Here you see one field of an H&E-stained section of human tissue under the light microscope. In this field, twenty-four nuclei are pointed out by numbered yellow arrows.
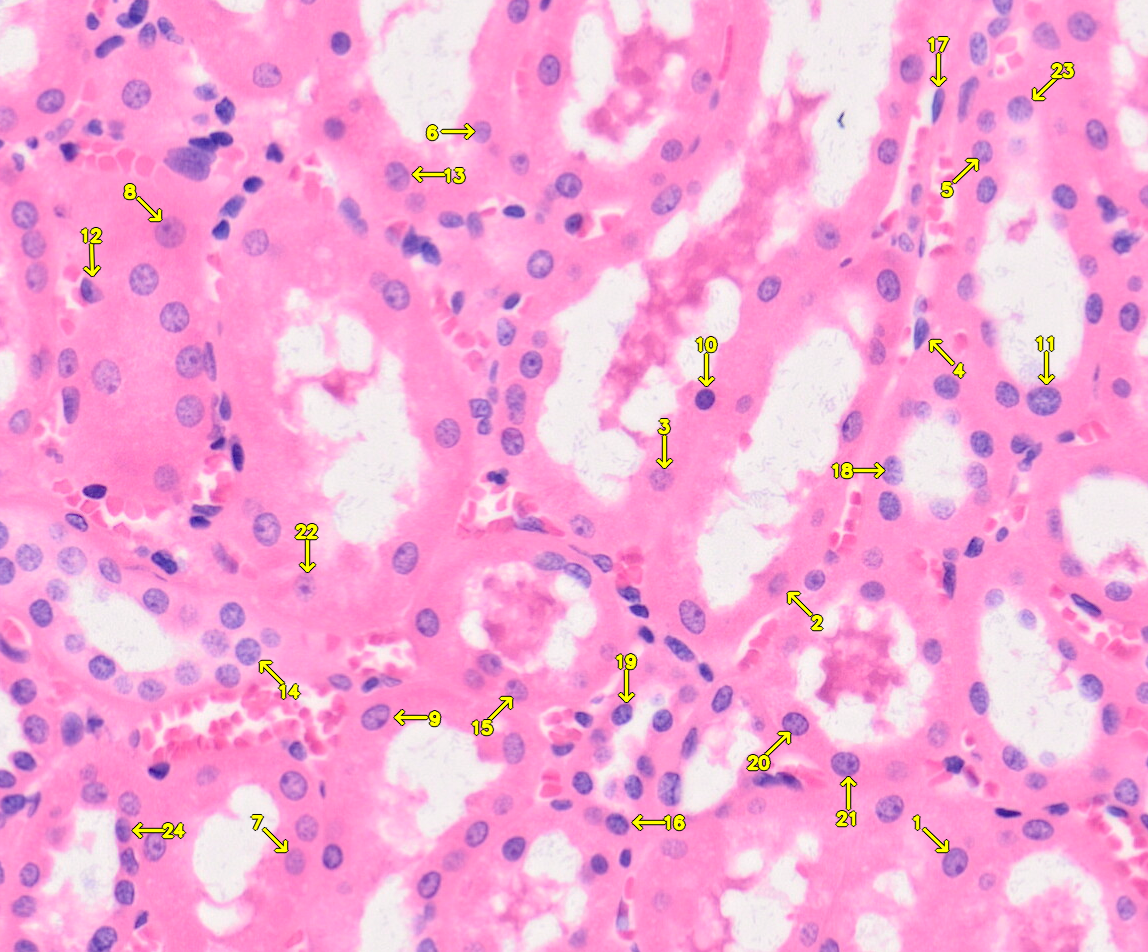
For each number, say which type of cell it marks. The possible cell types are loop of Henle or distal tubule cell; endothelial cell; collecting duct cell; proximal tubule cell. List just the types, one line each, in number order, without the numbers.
proximal tubule cell
proximal tubule cell
proximal tubule cell
endothelial cell
loop of Henle or distal tubule cell
proximal tubule cell
proximal tubule cell
proximal tubule cell
proximal tubule cell
proximal tubule cell
loop of Henle or distal tubule cell
endothelial cell
proximal tubule cell
collecting duct cell
proximal tubule cell
loop of Henle or distal tubule cell
endothelial cell
loop of Henle or distal tubule cell
loop of Henle or distal tubule cell
proximal tubule cell
proximal tubule cell
proximal tubule cell
loop of Henle or distal tubule cell
loop of Henle or distal tubule cell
